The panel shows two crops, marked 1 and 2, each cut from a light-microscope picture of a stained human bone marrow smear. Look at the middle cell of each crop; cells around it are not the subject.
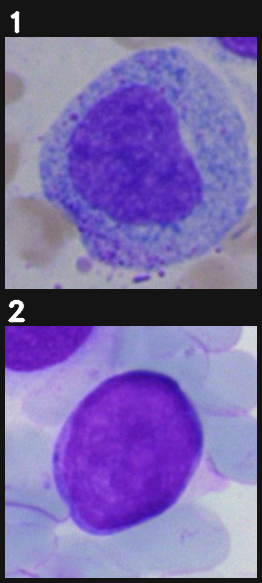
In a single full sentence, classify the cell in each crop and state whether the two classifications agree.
No; crop 1 is a promyelocyte, while crop 2 is a blast.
